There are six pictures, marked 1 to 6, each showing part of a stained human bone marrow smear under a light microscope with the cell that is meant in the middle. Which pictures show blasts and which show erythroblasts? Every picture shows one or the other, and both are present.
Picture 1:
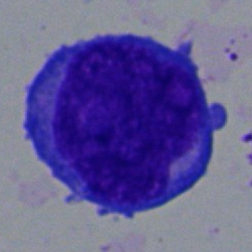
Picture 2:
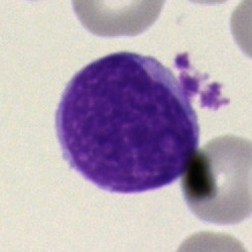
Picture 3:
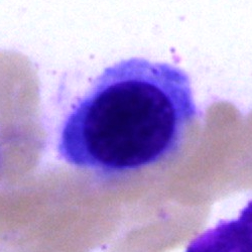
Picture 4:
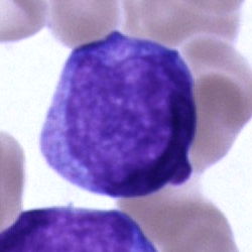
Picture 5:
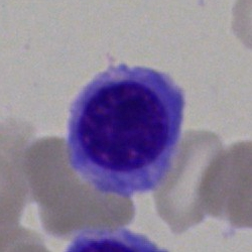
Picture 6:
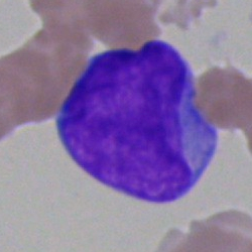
1: blast
2: blast
3: erythroblast
4: blast
5: erythroblast
6: blast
